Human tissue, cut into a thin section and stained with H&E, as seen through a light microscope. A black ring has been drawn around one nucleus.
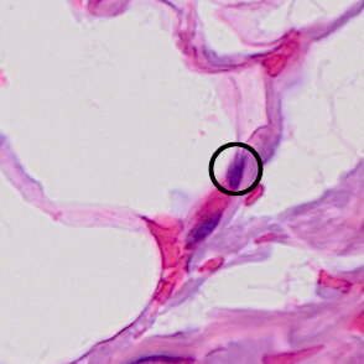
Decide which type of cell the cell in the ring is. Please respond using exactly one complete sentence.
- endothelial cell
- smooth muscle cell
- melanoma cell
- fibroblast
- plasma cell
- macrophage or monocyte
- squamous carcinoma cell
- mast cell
It is as an endothelial cell that the cell in the ring is recorded.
